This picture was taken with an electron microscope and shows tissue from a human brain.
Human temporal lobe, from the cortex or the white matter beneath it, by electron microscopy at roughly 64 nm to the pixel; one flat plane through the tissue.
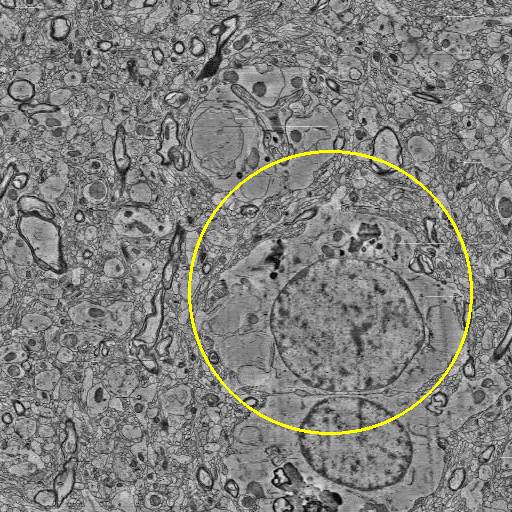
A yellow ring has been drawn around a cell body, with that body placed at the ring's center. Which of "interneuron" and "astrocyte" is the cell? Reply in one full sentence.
In this picture, an astrocyte is the cell at the center of the yellow ring.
